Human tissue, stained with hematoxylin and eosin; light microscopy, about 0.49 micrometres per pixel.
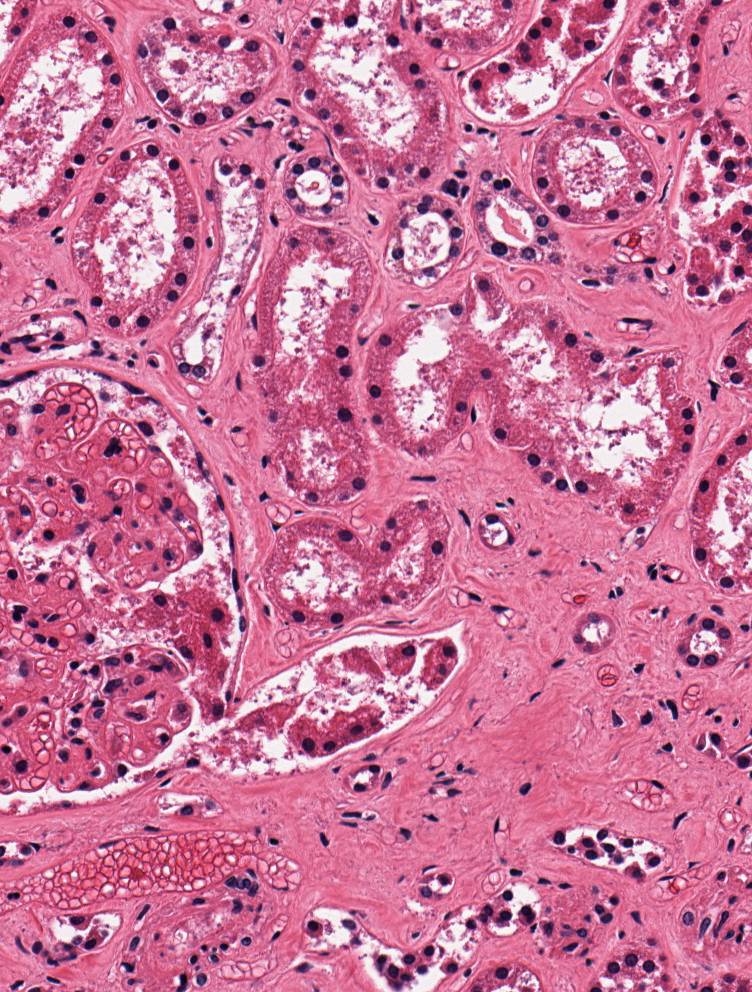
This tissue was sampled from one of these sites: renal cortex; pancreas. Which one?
renal cortex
